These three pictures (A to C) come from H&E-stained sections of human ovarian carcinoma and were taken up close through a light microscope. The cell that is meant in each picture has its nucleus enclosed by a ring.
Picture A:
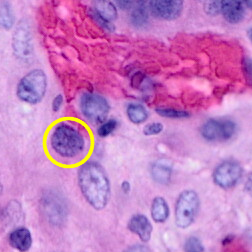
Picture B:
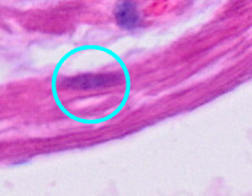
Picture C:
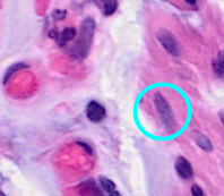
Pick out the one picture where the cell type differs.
A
